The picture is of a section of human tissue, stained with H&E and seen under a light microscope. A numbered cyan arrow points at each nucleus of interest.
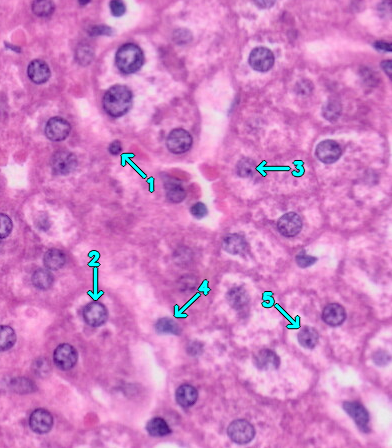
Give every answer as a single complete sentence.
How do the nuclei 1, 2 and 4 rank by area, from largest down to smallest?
The nuclei rank 2, 4, 1, from largest to smallest.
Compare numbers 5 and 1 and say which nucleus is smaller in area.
The smaller nucleus is 1, and 5 covers roughly 2 times its area.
